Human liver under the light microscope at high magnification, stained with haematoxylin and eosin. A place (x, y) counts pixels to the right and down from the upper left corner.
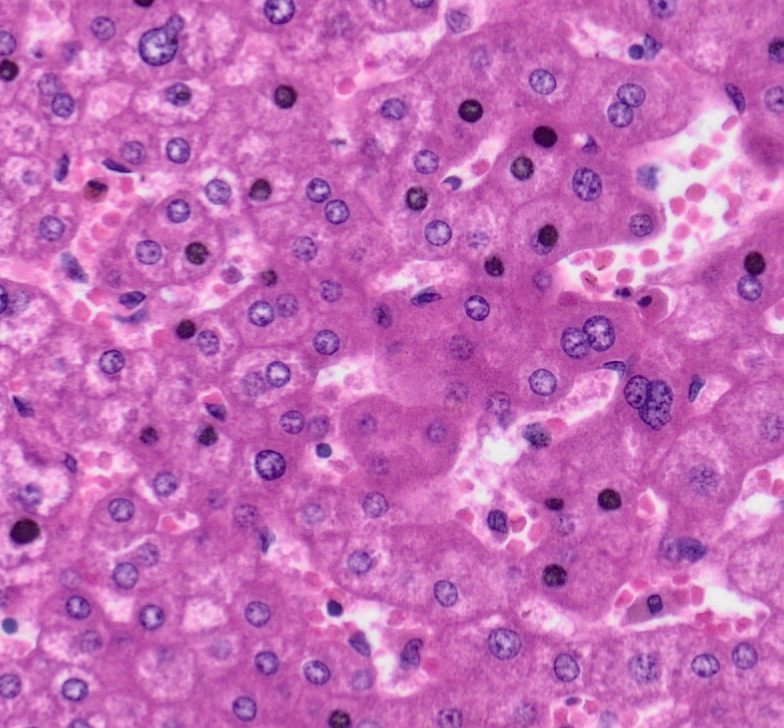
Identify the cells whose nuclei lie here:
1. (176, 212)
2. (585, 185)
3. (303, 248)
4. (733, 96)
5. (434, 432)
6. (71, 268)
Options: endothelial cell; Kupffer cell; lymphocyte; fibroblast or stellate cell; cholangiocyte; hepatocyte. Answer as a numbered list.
1. hepatocyte
2. hepatocyte
3. hepatocyte
4. fibroblast or stellate cell
5. hepatocyte
6. endothelial cell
